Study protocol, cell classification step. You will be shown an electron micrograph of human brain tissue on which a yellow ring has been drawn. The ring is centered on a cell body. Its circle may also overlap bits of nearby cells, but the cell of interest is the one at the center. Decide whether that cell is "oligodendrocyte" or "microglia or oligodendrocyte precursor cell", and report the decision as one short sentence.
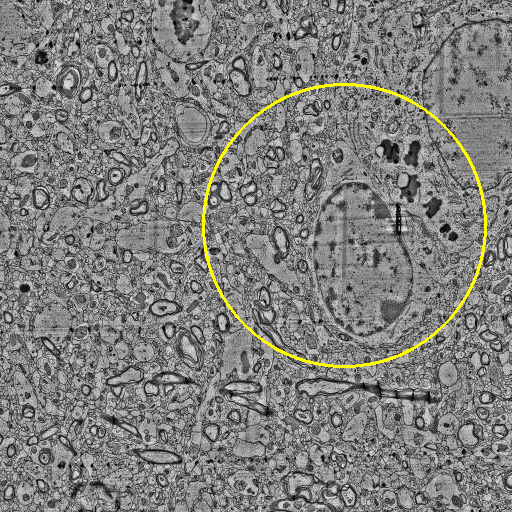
The marked cell is a microglial cell or oligodendrocyte precursor cell.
